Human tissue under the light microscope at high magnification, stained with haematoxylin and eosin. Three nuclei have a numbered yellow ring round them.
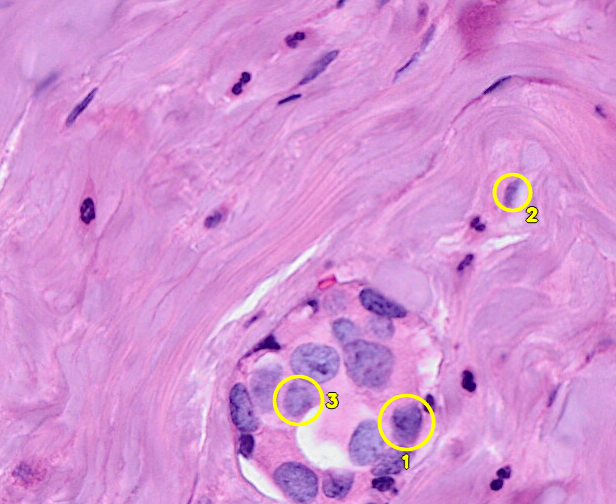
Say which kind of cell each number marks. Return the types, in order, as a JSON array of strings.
["carcinoma cell", "fibroblast", "carcinoma cell"]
